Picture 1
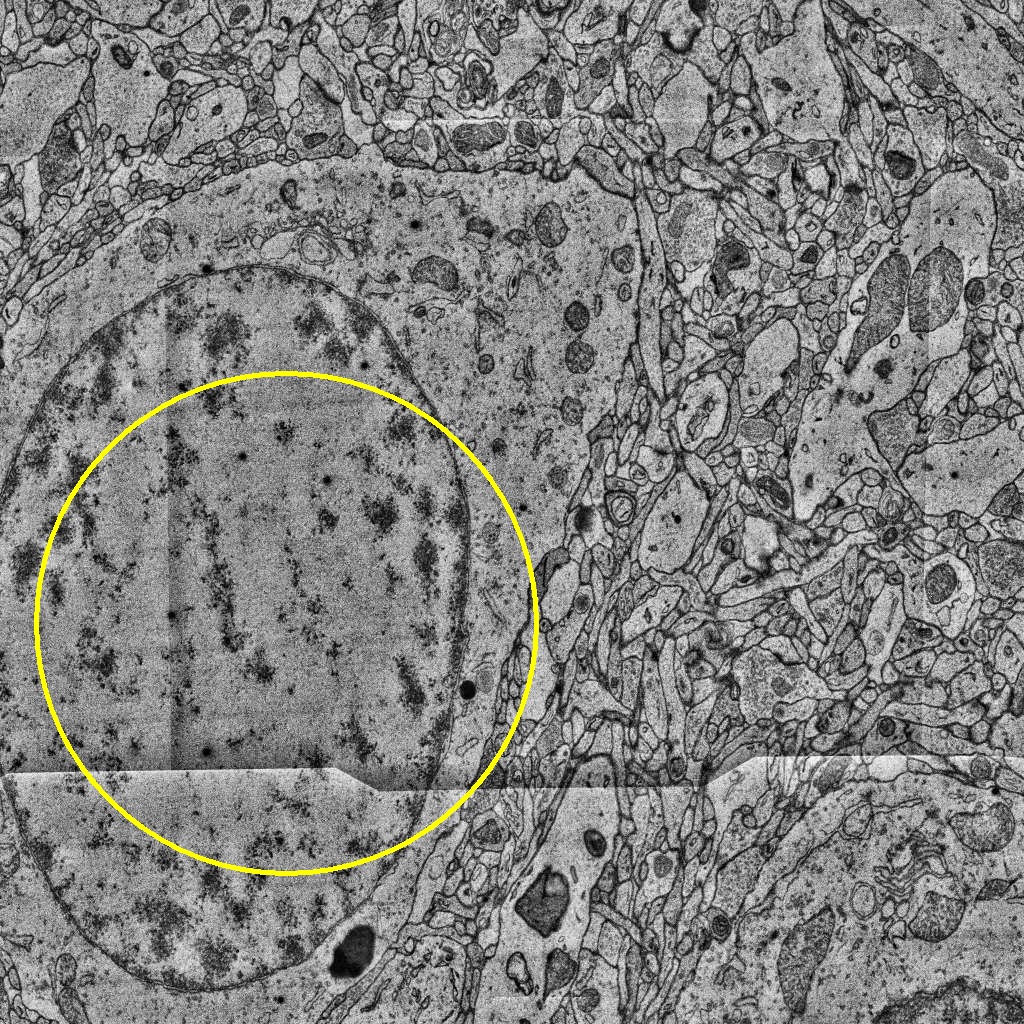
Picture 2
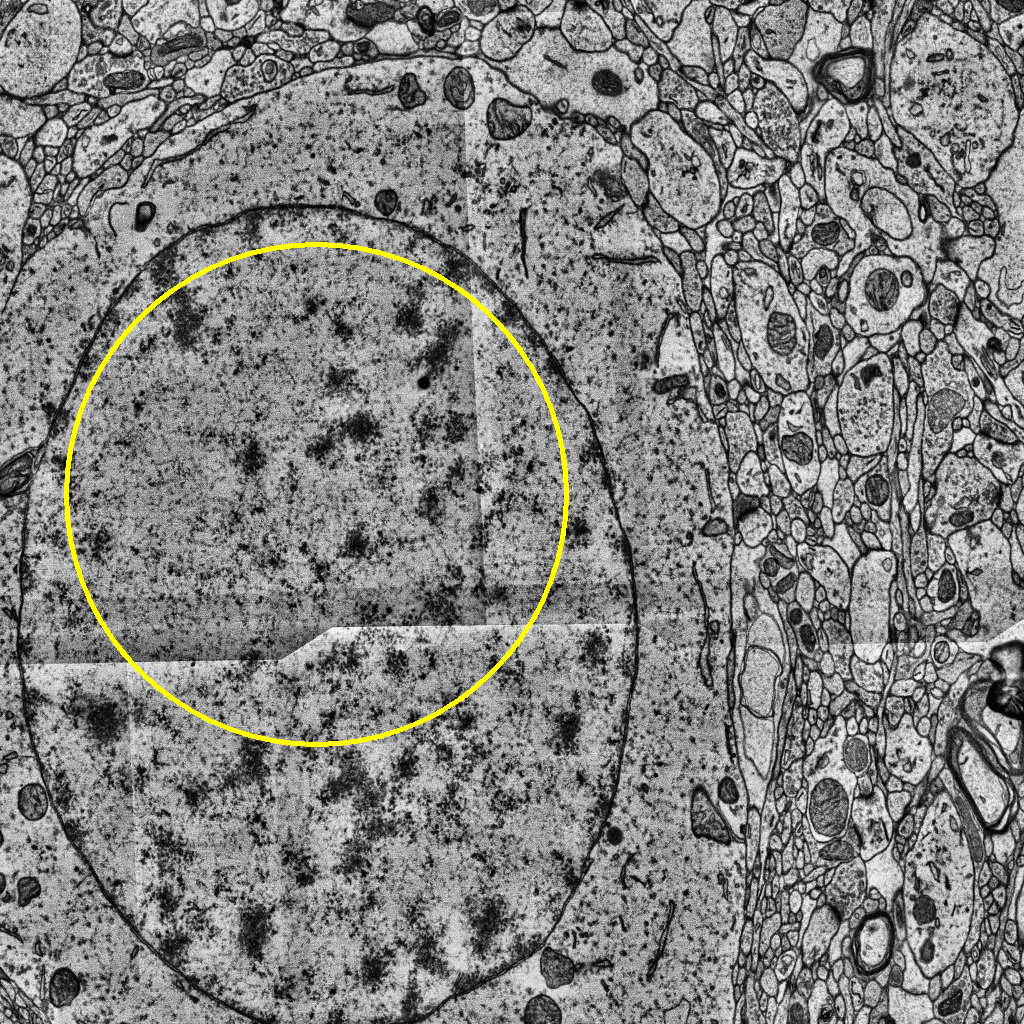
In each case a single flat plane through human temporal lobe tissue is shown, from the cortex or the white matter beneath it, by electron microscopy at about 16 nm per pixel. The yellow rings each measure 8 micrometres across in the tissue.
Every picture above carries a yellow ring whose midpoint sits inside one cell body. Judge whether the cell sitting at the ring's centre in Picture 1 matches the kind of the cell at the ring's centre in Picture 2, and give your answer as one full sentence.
Yes, the cells at the centres of the rings in Pictures 1 and 2 belong to one kind.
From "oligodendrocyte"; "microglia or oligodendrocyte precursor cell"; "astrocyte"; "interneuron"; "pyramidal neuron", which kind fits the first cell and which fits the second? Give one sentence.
The first and the second cell are each a pyramidal neuron.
